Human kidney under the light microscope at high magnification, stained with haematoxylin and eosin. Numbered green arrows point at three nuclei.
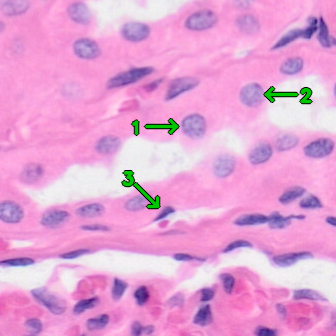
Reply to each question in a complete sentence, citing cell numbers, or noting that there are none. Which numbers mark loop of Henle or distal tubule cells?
Here, the cells that carry numbers 1 and 2 are loop of Henle or distal tubule cells.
